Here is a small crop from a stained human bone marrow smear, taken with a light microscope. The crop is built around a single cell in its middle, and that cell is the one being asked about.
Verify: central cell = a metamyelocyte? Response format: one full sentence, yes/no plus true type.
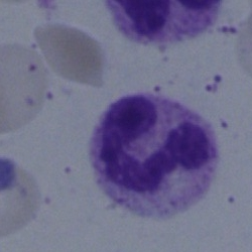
No, the centered cell is a band neutrophil and not a metamyelocyte at all.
